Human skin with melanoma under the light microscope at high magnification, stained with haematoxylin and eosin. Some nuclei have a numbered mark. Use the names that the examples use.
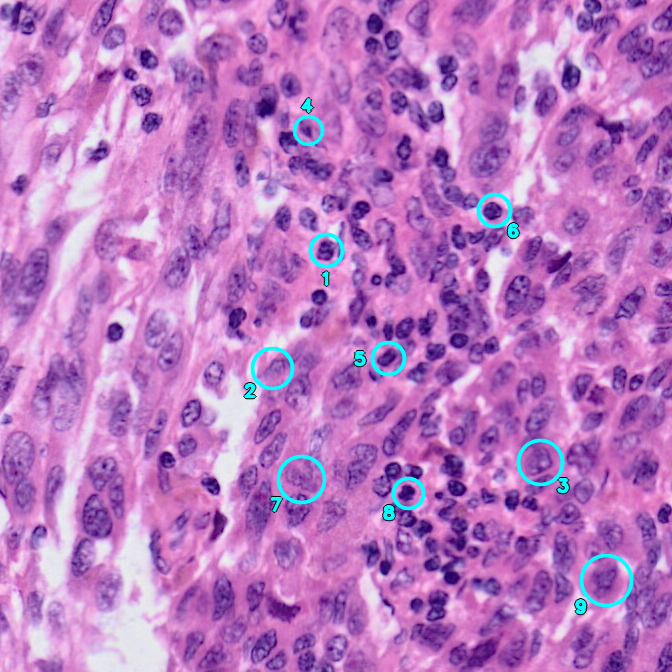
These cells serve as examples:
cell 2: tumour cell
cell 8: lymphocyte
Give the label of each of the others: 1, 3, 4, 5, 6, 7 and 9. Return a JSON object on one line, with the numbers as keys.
{"1": "lymphocyte", "3": "tumour cell", "4": "lymphocyte", "5": "lymphocyte", "6": "lymphocyte", "7": "tumour cell", "9": "tumour cell"}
